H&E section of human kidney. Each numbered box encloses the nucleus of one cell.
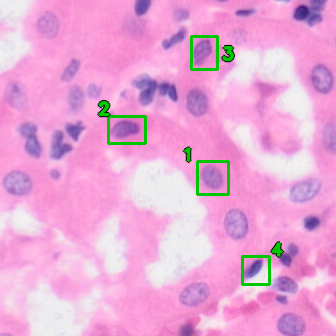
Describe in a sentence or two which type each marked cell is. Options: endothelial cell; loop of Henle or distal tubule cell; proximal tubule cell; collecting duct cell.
Cells 1, 2 and 3 are proximal tubule cells. Cell 4 is an endothelial cell.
